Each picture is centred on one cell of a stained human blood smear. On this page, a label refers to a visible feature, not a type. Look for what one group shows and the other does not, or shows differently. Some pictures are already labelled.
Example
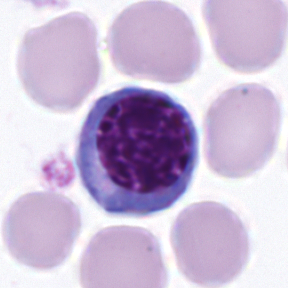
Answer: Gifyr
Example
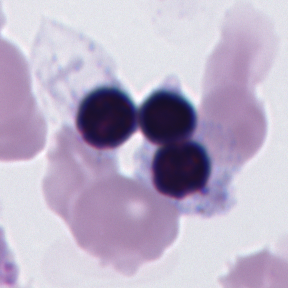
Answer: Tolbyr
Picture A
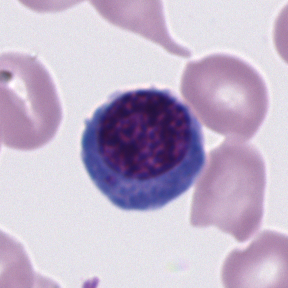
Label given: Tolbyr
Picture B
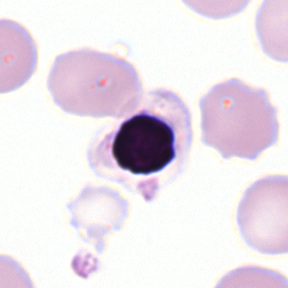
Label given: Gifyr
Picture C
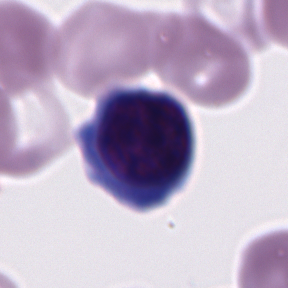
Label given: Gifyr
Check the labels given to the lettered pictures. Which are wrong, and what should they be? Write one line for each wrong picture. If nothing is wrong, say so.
A: change Tolbyr to Gifyr
B: change Gifyr to Tolbyr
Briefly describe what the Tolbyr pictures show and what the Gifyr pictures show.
Tolbyr: pink or nearly colourless cytoplasm; Gifyr: deep or dark blue cytoplasm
